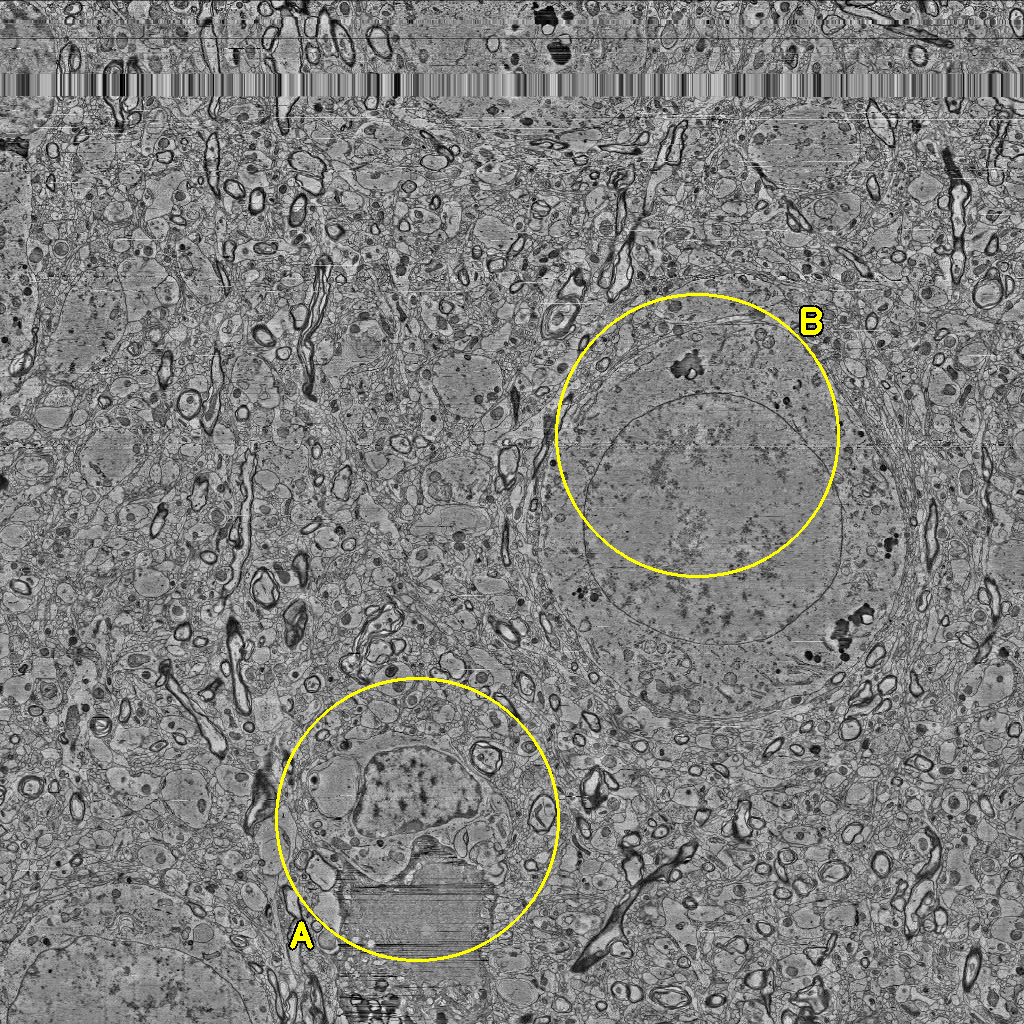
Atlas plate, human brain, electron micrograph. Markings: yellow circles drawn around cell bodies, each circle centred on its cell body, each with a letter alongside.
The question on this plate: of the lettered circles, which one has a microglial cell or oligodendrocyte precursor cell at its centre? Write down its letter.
A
